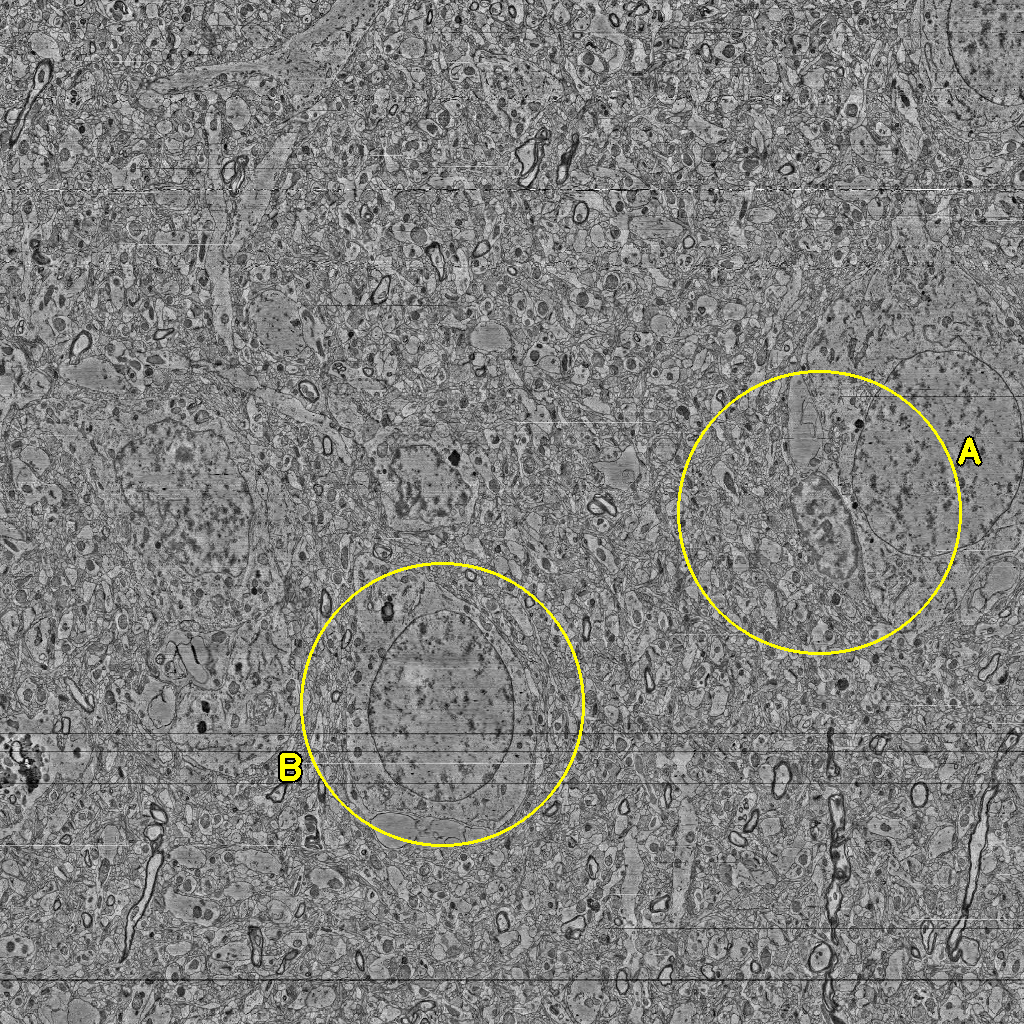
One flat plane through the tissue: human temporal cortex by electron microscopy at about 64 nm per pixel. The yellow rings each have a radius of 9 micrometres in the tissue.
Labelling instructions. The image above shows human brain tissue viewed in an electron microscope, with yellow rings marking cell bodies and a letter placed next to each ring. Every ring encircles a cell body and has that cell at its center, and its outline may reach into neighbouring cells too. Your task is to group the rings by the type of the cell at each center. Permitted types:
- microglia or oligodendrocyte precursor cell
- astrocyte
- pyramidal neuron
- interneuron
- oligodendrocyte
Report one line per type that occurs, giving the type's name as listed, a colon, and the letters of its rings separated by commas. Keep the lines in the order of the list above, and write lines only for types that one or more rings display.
pyramidal neuron: B
oligodendrocyte: A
